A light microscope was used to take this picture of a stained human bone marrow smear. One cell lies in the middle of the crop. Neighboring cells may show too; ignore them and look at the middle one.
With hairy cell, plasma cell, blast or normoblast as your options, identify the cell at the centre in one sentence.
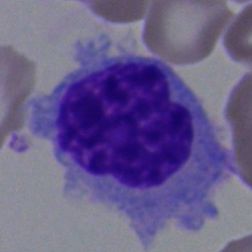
The cell featured at the centre of this crop is a hairy cell.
